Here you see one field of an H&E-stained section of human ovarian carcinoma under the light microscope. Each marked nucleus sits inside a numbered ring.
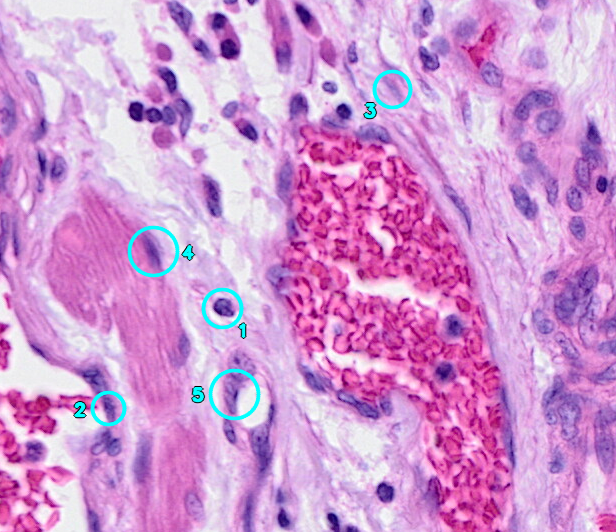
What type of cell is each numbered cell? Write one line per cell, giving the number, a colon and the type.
1: lymphocyte
2: endothelial cell
3: fibroblast
4: smooth muscle cell
5: endothelial cell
